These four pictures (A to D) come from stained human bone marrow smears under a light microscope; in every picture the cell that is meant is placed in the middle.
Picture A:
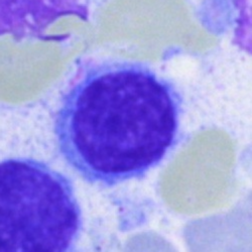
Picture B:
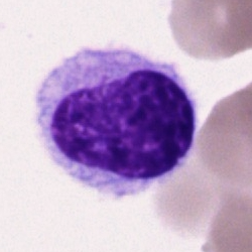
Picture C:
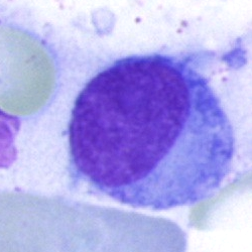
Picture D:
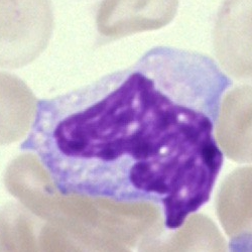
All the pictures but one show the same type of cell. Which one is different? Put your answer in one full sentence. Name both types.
The different one is picture D; it shows a monocyte, whereas all the others show hairy cells.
